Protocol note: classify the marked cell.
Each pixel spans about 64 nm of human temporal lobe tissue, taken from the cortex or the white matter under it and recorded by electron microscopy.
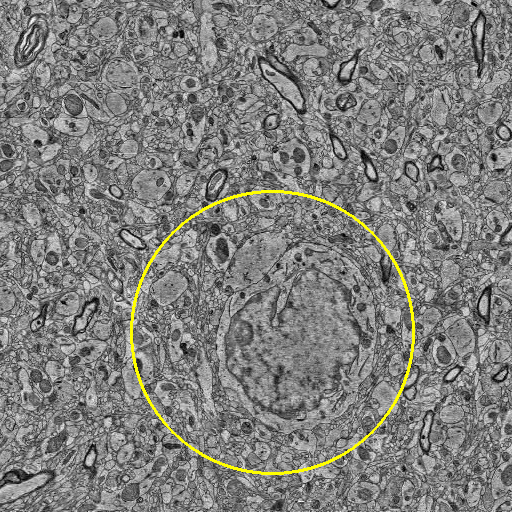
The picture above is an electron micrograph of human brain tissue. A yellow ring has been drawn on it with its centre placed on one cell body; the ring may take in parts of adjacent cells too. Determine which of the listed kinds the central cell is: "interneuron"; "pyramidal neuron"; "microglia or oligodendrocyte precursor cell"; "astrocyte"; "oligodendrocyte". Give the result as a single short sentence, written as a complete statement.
The central cell is an interneuron.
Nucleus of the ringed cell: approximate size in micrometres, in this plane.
Approximately 10 micrometres long and 9 micrometres wide, in this plane.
